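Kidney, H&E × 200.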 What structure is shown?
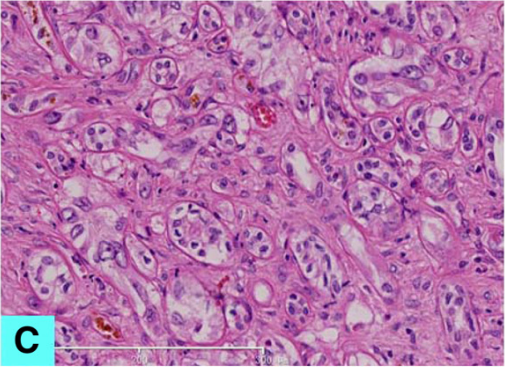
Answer: Tubules or angulated glands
